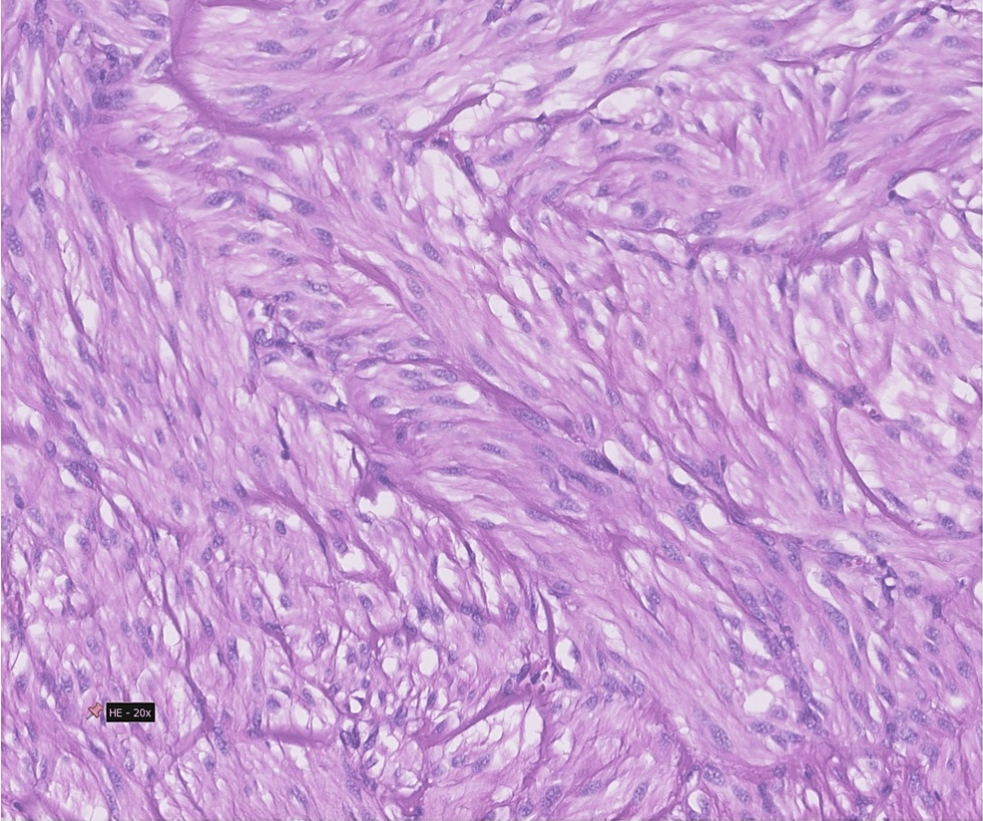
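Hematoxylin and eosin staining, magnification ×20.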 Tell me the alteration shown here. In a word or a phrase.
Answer: Spindle cell neoplasm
